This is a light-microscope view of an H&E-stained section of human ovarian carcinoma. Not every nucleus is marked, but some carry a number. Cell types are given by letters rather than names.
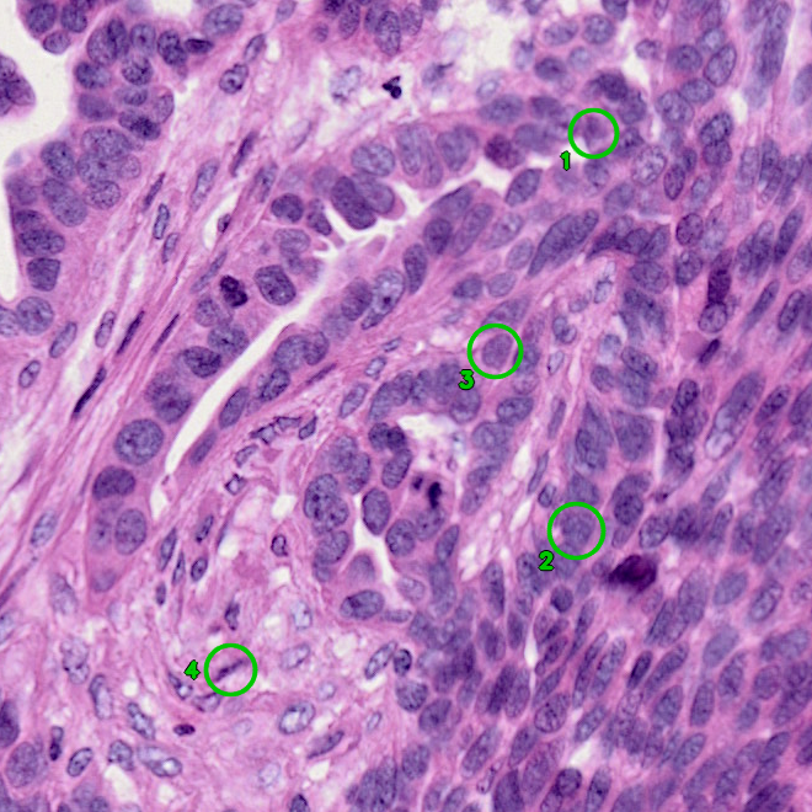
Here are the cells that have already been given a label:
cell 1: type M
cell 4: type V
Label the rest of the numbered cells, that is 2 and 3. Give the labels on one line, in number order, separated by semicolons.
type M; type M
